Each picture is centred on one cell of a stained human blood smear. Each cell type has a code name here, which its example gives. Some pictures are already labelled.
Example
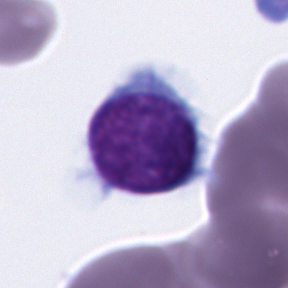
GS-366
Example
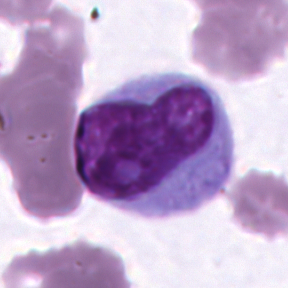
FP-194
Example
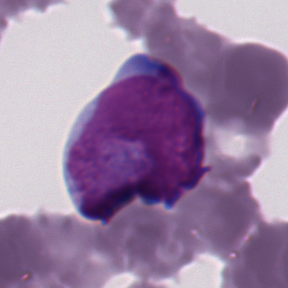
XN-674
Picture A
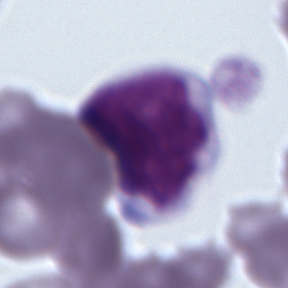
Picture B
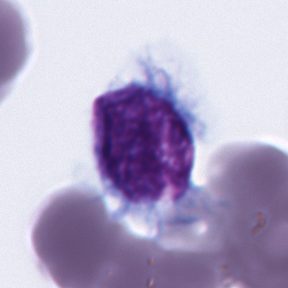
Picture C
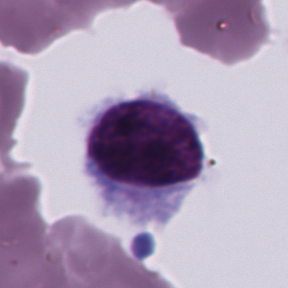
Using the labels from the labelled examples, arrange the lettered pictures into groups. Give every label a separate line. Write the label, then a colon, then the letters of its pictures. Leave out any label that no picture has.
GS-366: B, C
XN-674: A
